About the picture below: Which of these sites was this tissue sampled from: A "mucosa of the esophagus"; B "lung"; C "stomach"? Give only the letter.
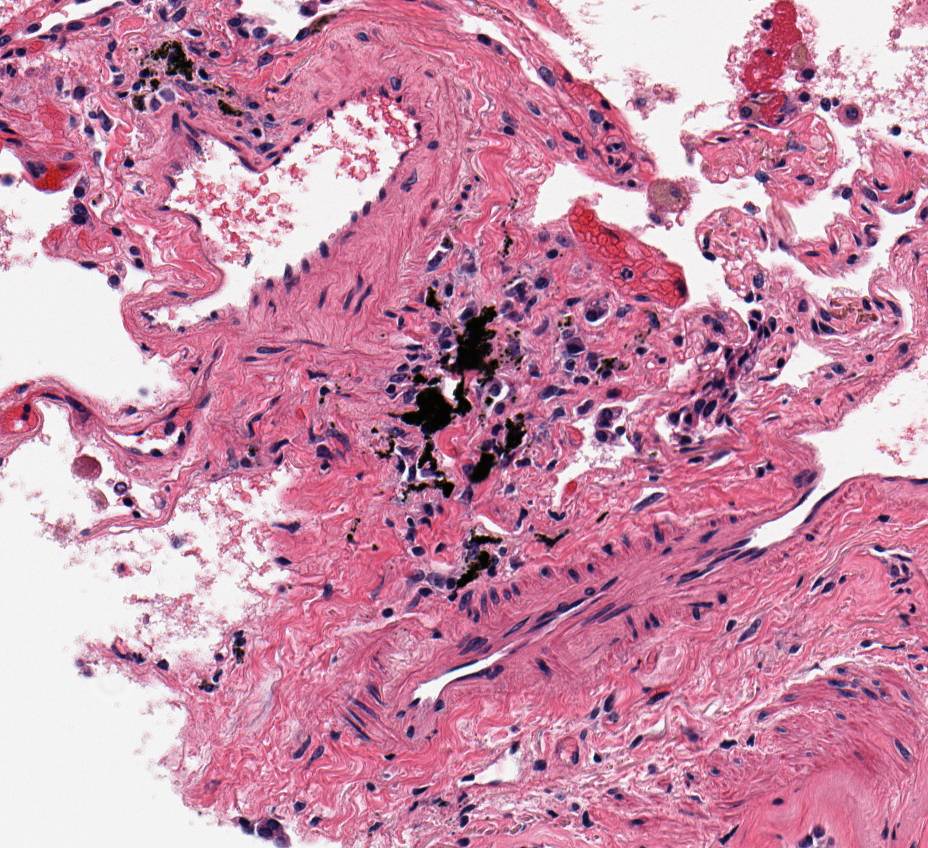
B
